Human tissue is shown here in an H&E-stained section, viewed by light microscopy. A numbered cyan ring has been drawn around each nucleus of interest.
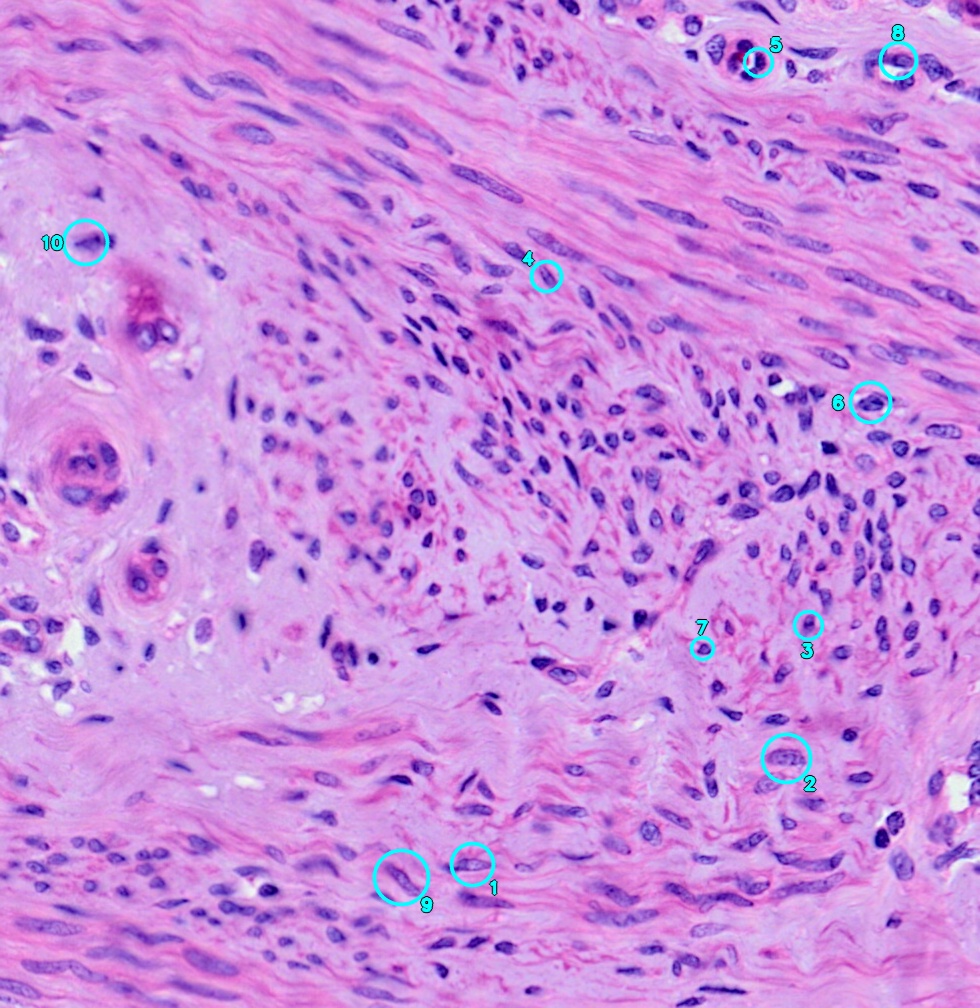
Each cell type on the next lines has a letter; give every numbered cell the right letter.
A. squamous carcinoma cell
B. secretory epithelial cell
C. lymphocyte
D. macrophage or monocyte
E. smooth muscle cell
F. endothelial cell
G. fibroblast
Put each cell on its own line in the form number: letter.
1: E
2: E
3: E
4: E
5: F
6: C
7: E
8: F
9: E
10: G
